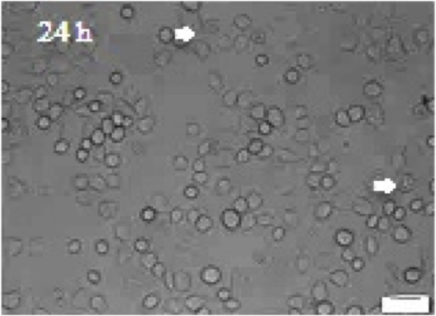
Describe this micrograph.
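Cultured cells seen in phase contrast are far fewer than in a confluent sheet, lying scattered singly and in small groups over a large empty background. Most cells have rounded up into spheres with thick dark rims, and many no longer touch their neighbours. Cell sizes vary, with some small, compact bodies among larger rounded ones. The orderly cobblestone arrangement of a healthy monolayer is lost across the field.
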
